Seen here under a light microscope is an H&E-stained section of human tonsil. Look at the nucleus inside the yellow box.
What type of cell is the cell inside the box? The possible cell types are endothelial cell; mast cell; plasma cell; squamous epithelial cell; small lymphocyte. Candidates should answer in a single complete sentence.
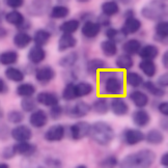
The classification of the cell inside the box is as a small lymphocyte.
